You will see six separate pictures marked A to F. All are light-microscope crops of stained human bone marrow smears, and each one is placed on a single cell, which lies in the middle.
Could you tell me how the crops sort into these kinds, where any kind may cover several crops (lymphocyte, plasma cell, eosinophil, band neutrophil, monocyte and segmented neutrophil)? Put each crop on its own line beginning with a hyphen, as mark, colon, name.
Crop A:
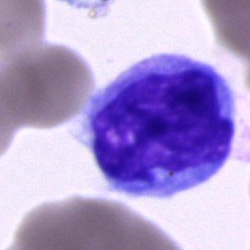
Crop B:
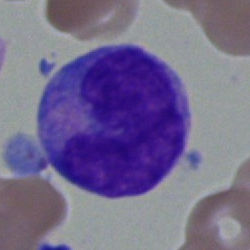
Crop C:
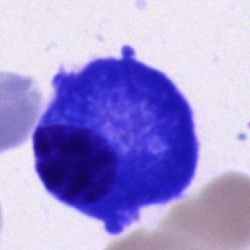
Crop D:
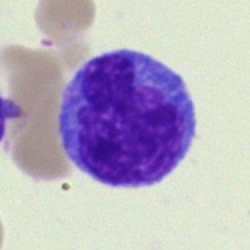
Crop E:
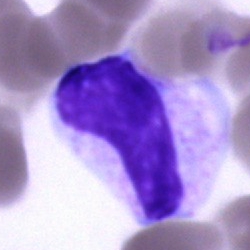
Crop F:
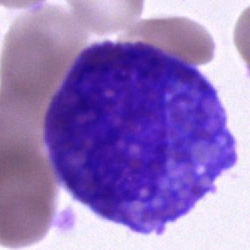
- A: monocyte
- B: monocyte
- C: plasma cell
- D: monocyte
- E: band neutrophil
- F: eosinophil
